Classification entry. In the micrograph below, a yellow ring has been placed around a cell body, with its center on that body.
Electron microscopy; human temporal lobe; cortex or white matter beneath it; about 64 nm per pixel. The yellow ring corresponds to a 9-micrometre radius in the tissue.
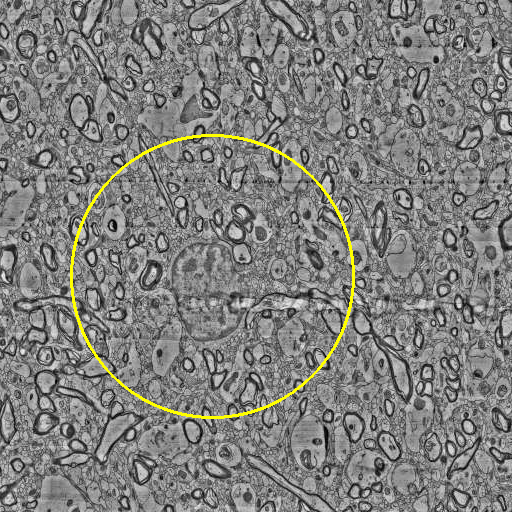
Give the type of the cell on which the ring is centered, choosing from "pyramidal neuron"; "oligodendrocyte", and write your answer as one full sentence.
The cell body at the center of the yellow ring belongs to an oligodendrocyte.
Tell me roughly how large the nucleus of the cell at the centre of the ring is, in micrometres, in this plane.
In this plane, the nucleus is roughly 6 by 5 micrometres.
